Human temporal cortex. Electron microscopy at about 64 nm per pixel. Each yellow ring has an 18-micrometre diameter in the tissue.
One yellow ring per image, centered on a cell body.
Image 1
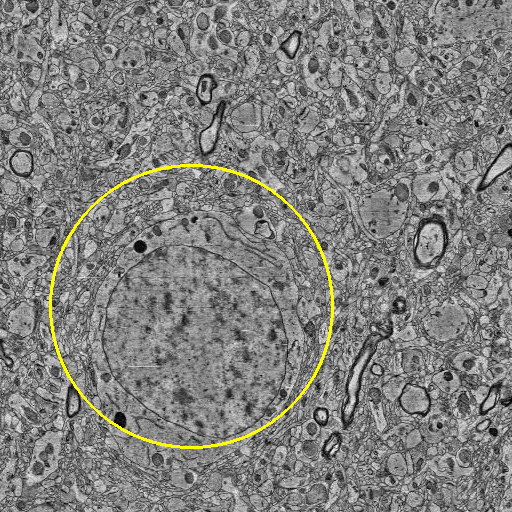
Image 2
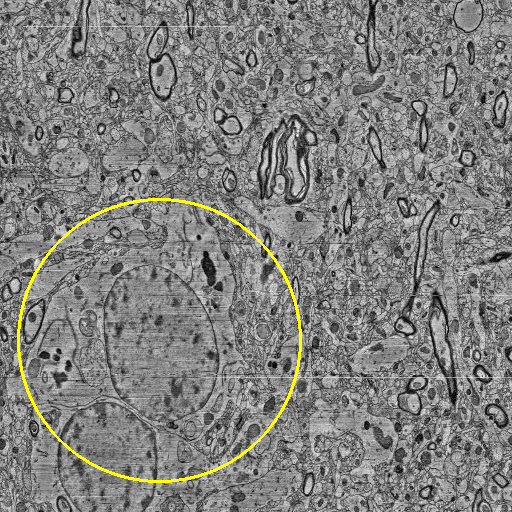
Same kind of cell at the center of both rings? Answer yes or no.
no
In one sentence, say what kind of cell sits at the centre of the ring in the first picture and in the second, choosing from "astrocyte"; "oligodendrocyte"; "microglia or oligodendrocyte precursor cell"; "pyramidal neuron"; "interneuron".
The first picture's ringed cell is a pyramidal neuron, while the second picture's is an astrocyte.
